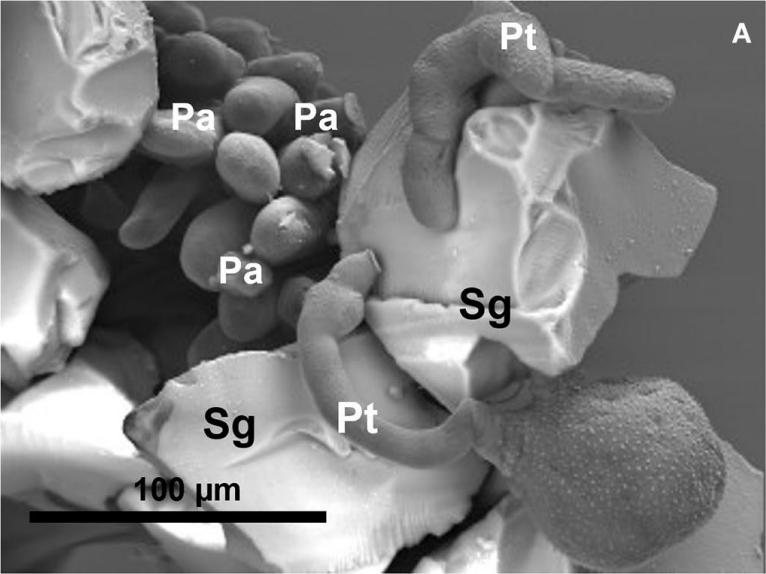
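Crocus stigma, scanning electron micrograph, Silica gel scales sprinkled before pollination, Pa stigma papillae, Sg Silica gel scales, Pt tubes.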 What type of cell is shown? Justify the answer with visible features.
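A rounded body with a surface of small, evenly spaced dots lies at the lower right. The answer: Pollen grain.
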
